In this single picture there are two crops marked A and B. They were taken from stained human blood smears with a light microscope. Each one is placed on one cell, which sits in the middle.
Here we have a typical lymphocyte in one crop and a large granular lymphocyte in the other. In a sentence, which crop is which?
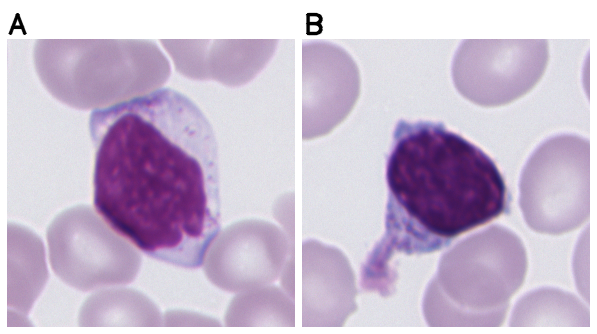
The middle of crop A is occupied by a large granular lymphocyte, and the middle of crop B by a typical lymphocyte.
